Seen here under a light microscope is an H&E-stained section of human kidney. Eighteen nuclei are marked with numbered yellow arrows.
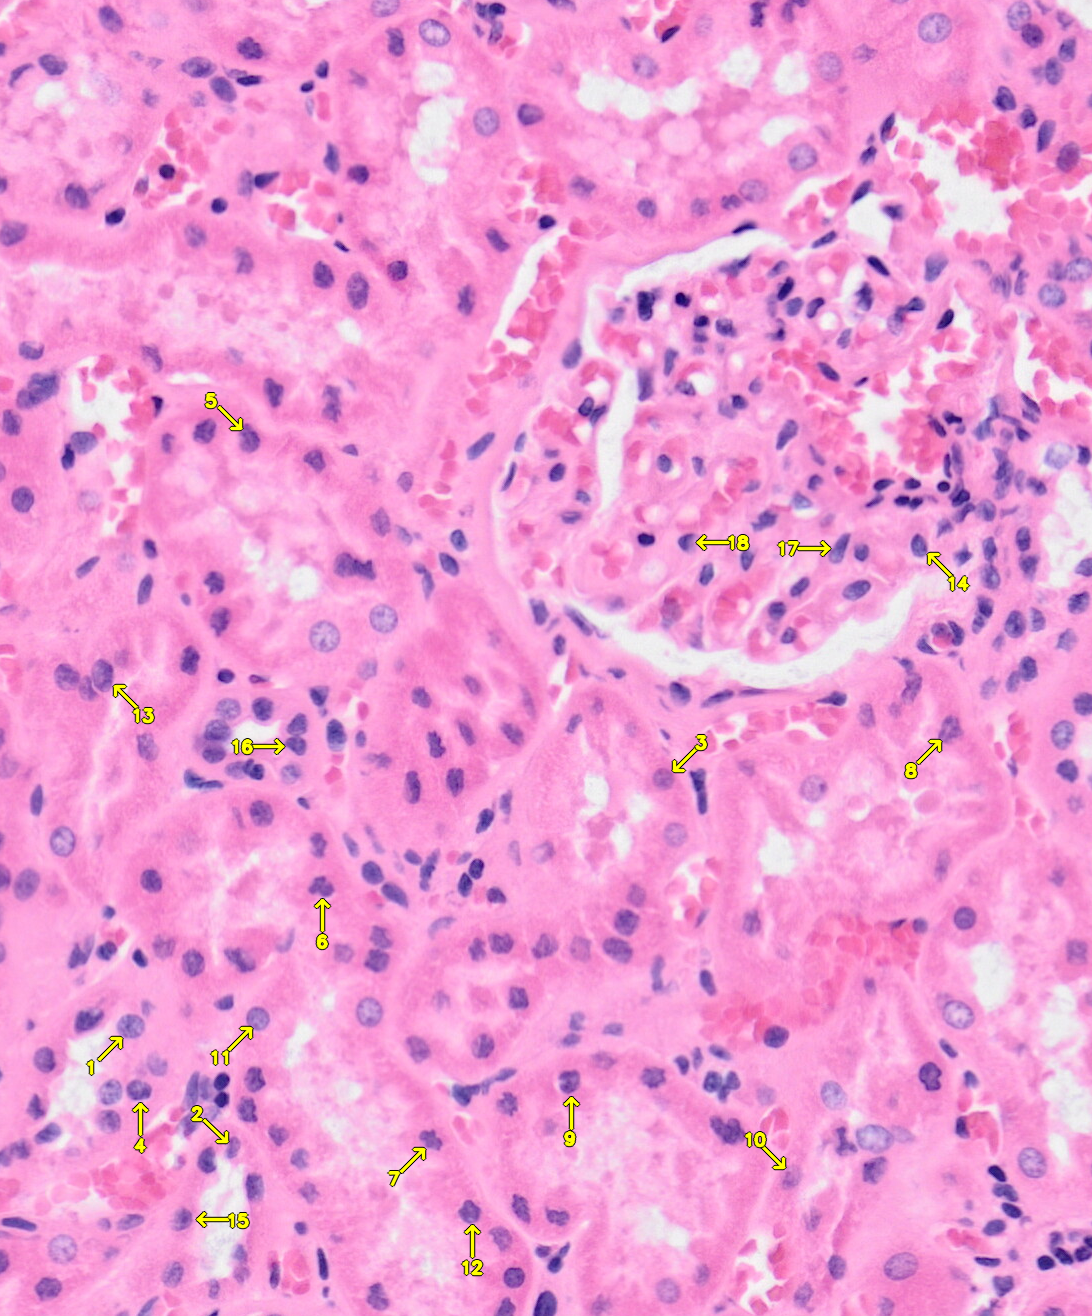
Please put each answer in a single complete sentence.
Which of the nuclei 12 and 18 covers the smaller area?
Nucleus 18 is the smaller one; nucleus 12 covers about 2 times its area.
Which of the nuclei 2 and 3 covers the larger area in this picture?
Of the two, number 3 is bigger and takes up about 1.5 times the area of number 2.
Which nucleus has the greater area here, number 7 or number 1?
It is nucleus 1, which covers about 1.5 times the area of nucleus 7.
